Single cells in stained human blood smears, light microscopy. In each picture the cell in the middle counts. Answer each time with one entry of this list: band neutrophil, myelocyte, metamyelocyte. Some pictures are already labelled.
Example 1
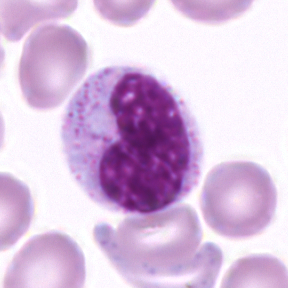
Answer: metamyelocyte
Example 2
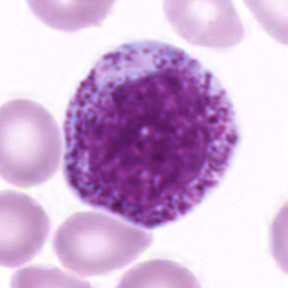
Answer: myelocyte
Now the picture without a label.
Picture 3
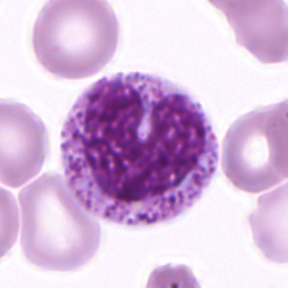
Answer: band neutrophil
